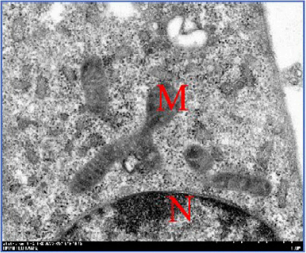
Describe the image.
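The nucleus has a dark rim of condensed chromatin along its envelope. The cytoplasm is finely granular and holds several mitochondria, one of them elongated and branching, with a dense matrix and visible cristae. A few small pale vacuoles lie in the upper part of the field. Overall the organelles look compact and intact.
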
